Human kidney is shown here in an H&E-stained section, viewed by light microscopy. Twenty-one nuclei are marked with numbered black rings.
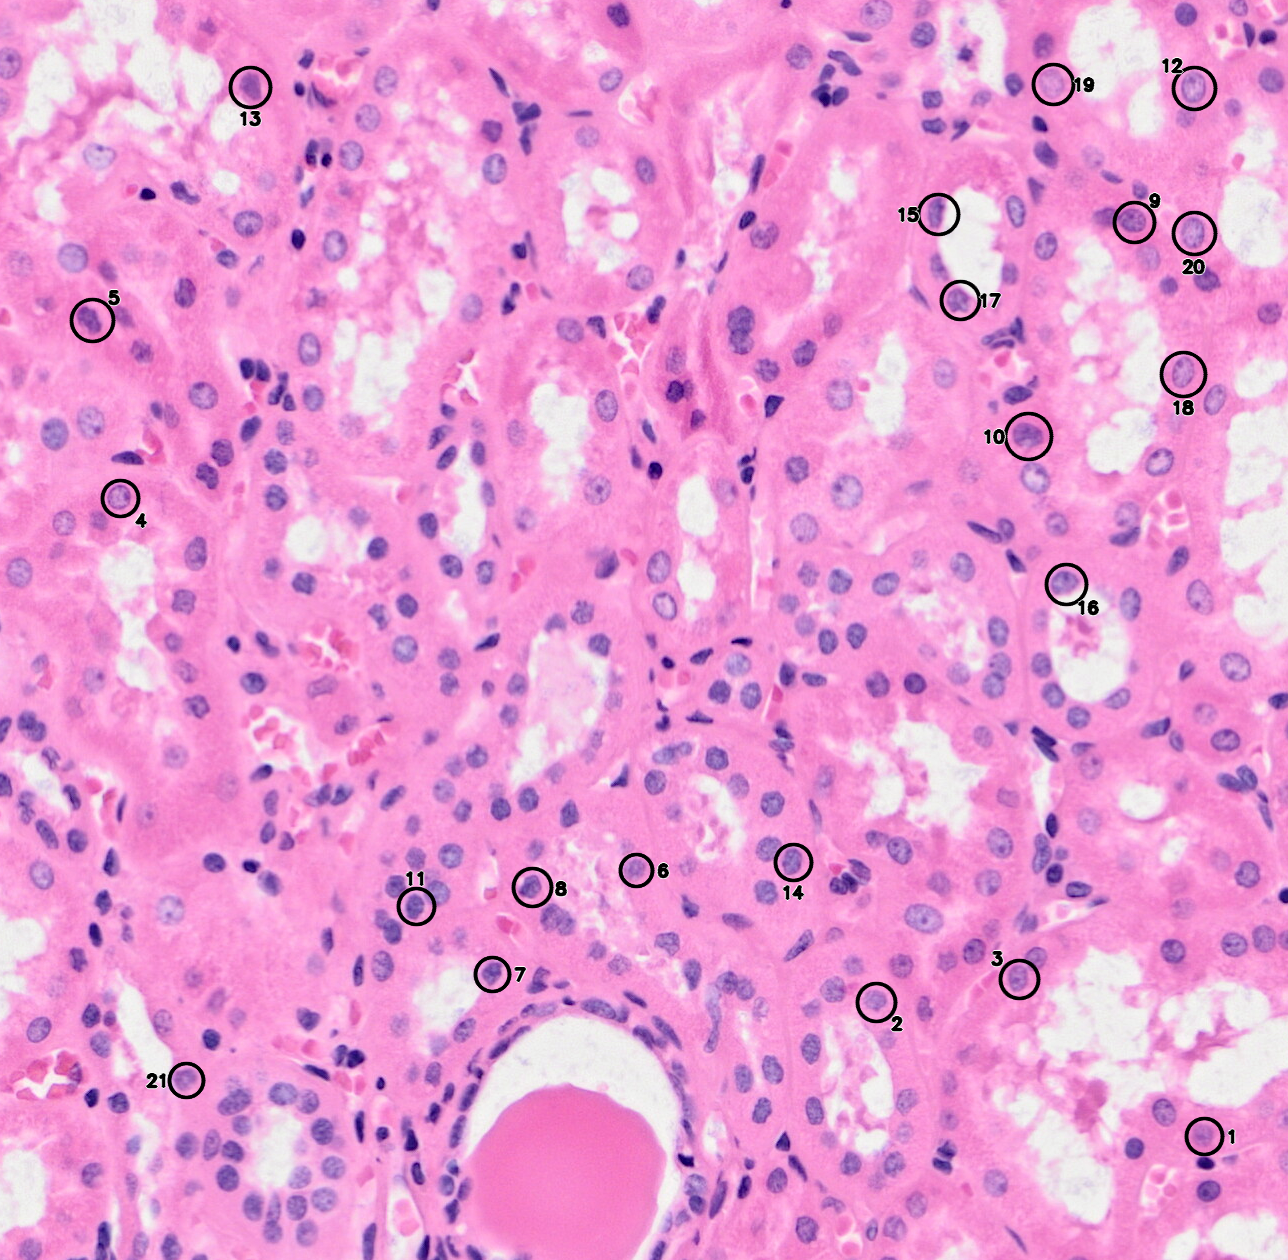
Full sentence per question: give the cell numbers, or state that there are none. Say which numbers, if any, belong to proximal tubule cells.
Cells 1, 3, 4, 5, 9, 10, 12, 13, 18, 19 and 20 are classified as proximal tubule cells.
